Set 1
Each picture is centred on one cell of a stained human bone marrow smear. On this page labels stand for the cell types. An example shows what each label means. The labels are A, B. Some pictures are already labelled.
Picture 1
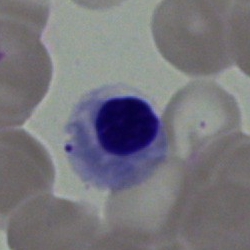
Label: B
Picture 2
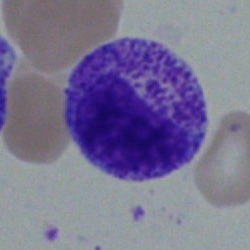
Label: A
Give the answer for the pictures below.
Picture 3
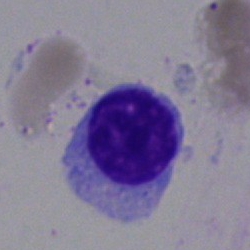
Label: B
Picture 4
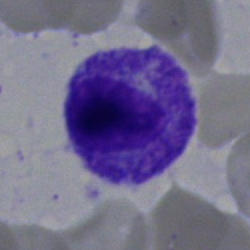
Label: A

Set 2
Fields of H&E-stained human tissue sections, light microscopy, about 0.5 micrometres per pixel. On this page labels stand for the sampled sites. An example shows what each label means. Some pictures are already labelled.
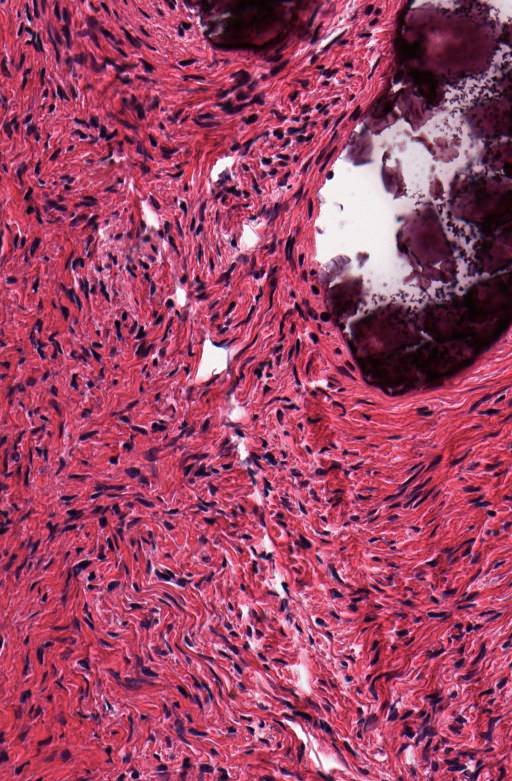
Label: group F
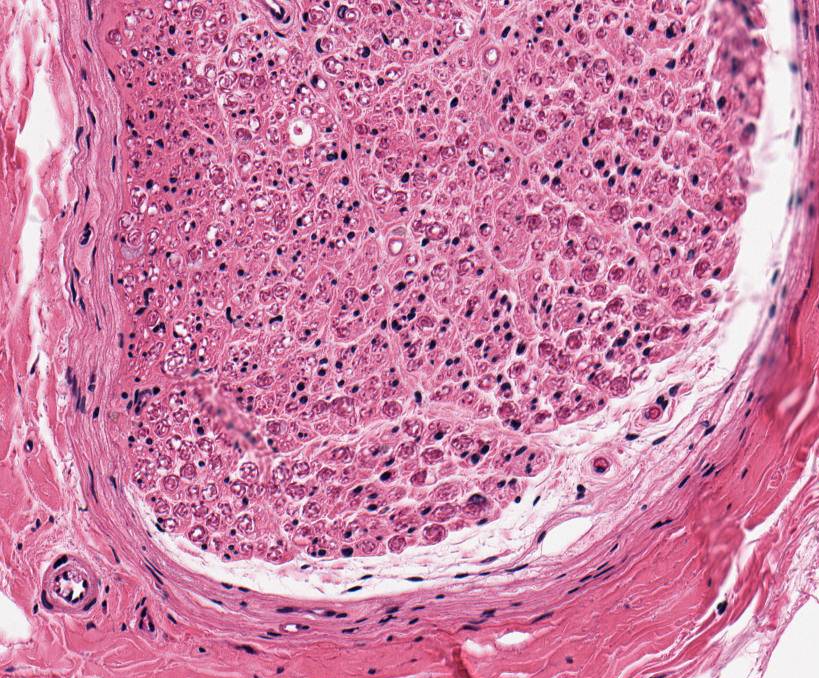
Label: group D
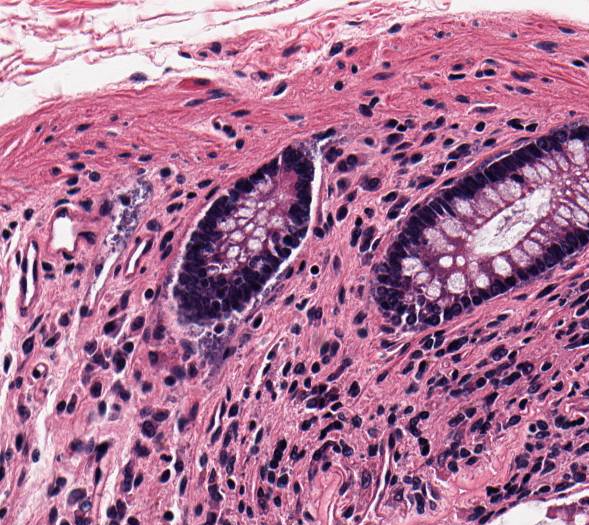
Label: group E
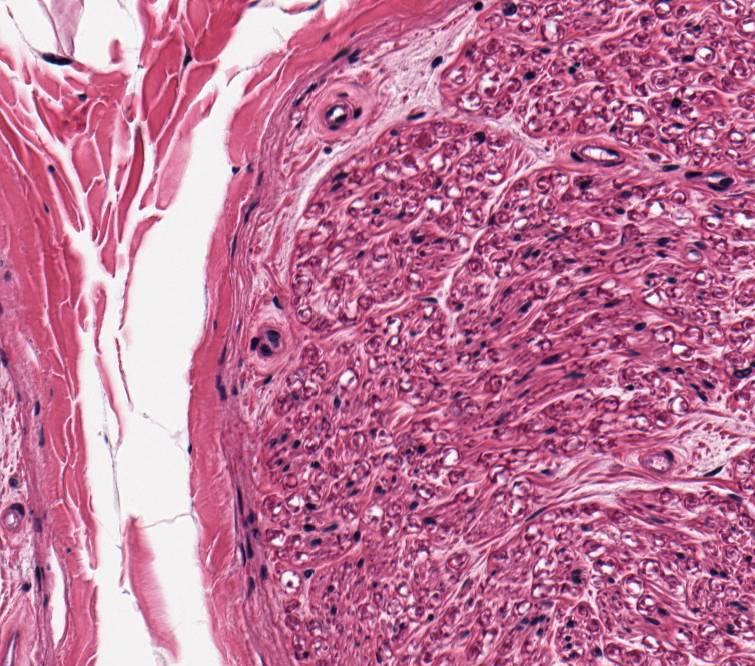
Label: group D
